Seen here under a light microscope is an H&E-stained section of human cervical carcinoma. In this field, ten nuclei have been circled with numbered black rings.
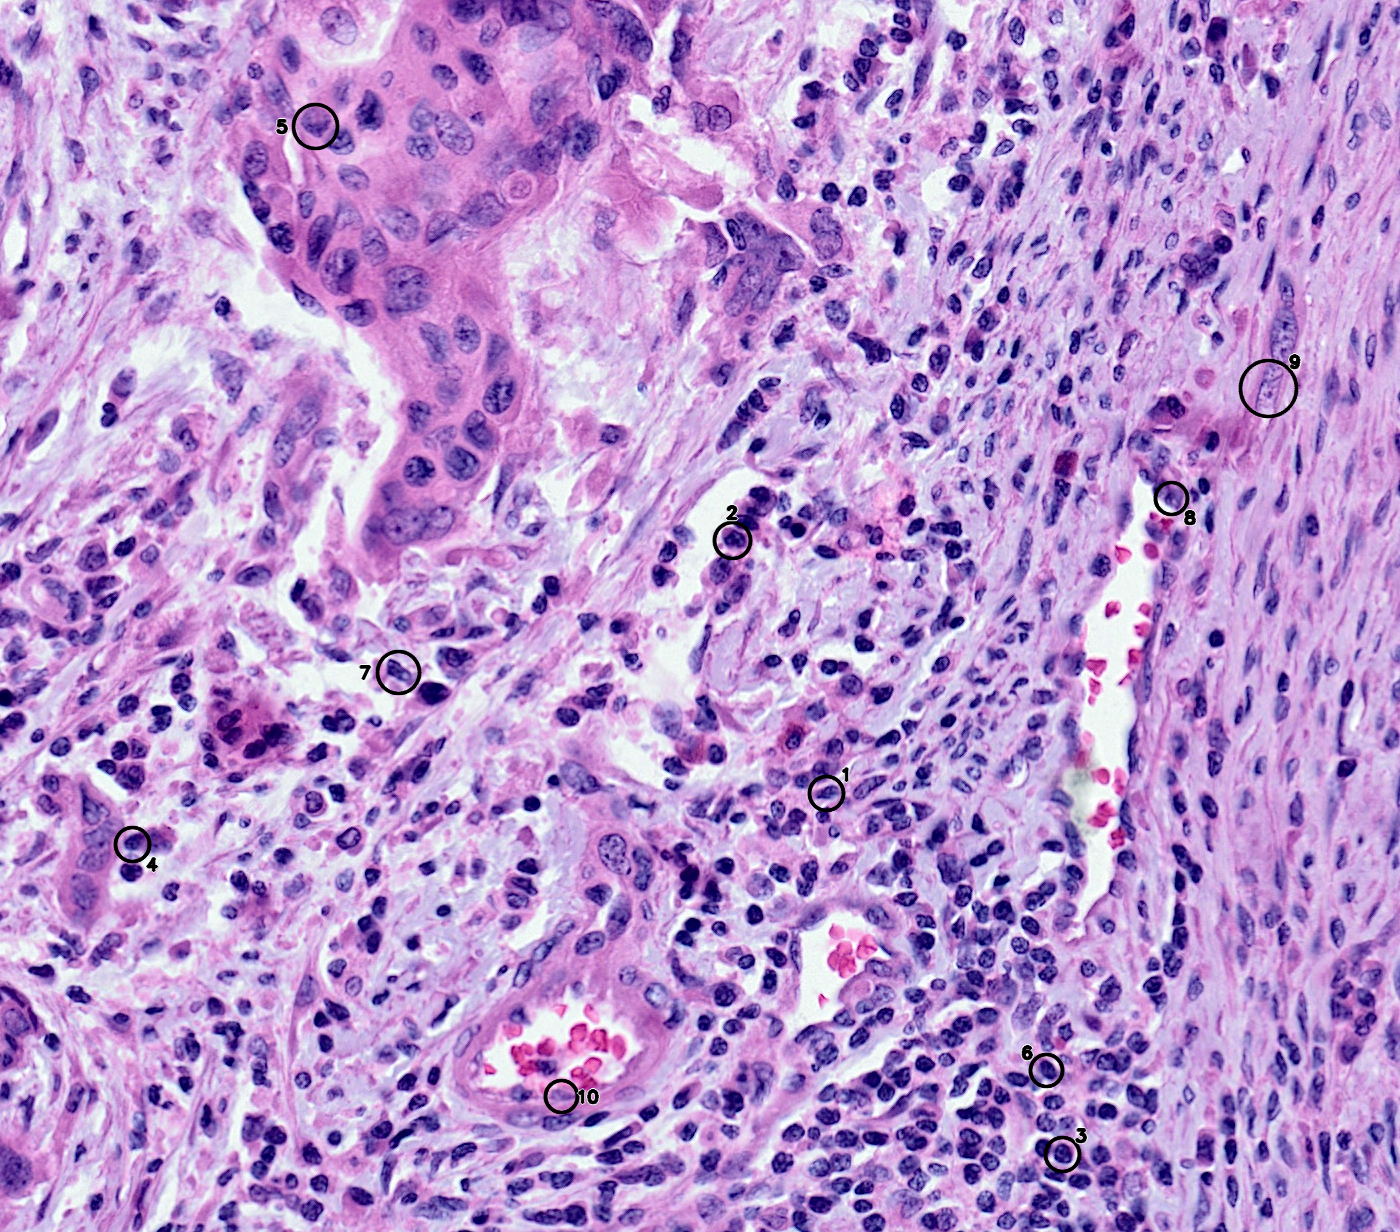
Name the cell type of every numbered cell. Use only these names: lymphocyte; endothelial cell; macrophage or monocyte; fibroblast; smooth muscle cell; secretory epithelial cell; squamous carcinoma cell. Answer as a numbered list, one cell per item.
1. lymphocyte
2. lymphocyte
3. lymphocyte
4. lymphocyte
5. squamous carcinoma cell
6. lymphocyte
7. lymphocyte
8. endothelial cell
9. endothelial cell
10. endothelial cell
